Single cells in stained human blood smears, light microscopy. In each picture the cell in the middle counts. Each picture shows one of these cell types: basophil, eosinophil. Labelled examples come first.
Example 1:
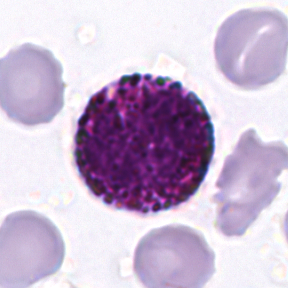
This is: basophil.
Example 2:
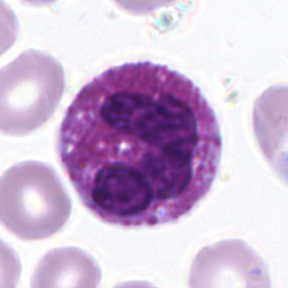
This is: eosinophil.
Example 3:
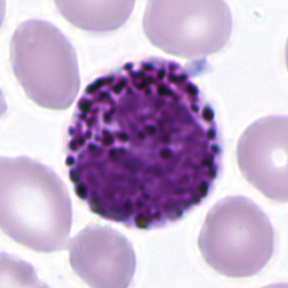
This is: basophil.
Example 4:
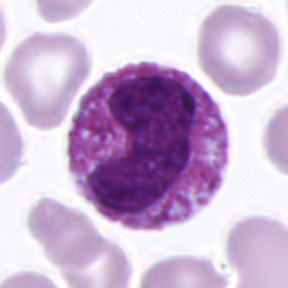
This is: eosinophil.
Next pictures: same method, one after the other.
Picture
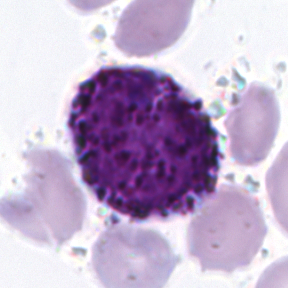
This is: basophil.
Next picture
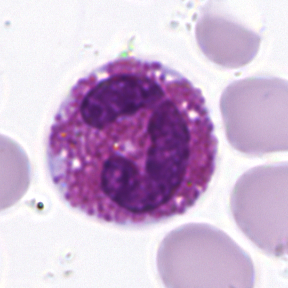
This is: eosinophil.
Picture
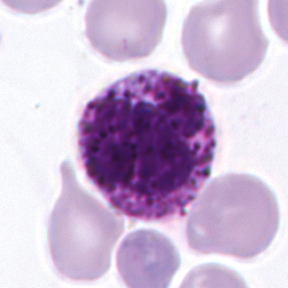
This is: basophil.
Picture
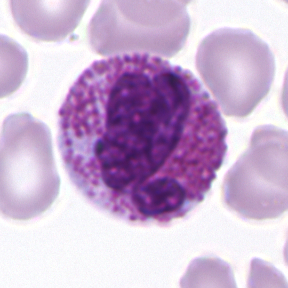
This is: eosinophil.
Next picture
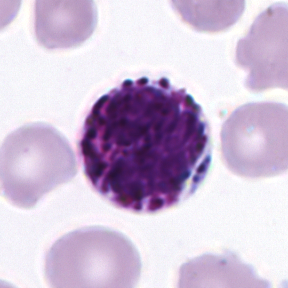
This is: basophil.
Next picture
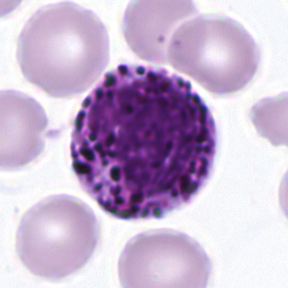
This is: basophil.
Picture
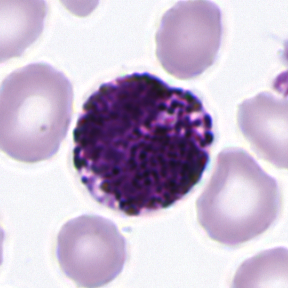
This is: basophil.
